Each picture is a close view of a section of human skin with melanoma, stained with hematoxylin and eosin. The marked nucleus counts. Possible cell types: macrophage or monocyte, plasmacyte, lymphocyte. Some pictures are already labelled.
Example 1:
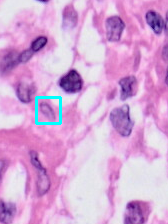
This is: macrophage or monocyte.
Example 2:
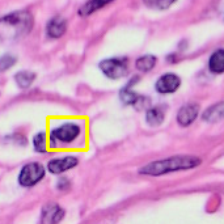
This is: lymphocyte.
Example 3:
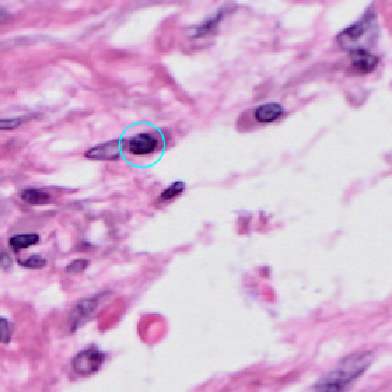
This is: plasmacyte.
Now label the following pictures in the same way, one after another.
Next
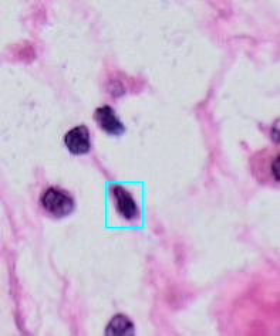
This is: lymphocyte.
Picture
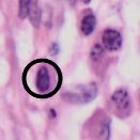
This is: plasmacyte.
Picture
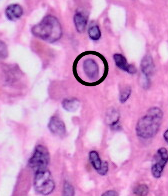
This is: macrophage or monocyte.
